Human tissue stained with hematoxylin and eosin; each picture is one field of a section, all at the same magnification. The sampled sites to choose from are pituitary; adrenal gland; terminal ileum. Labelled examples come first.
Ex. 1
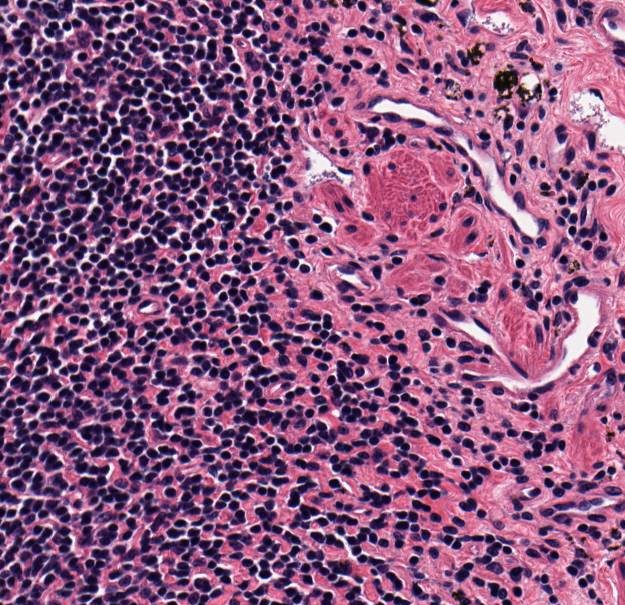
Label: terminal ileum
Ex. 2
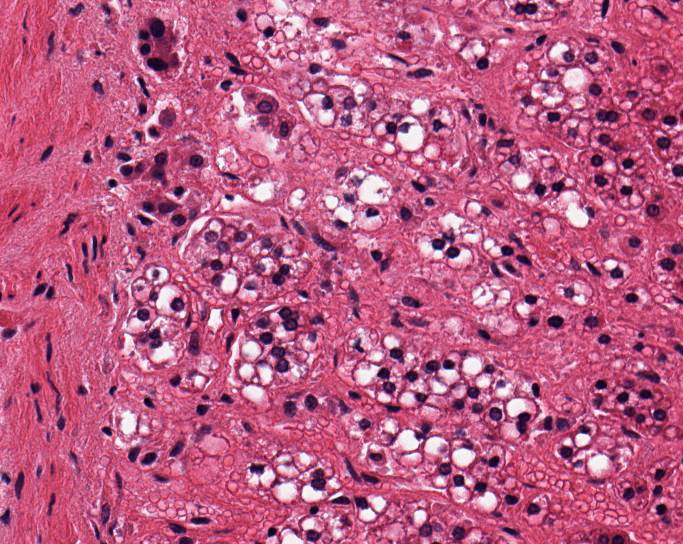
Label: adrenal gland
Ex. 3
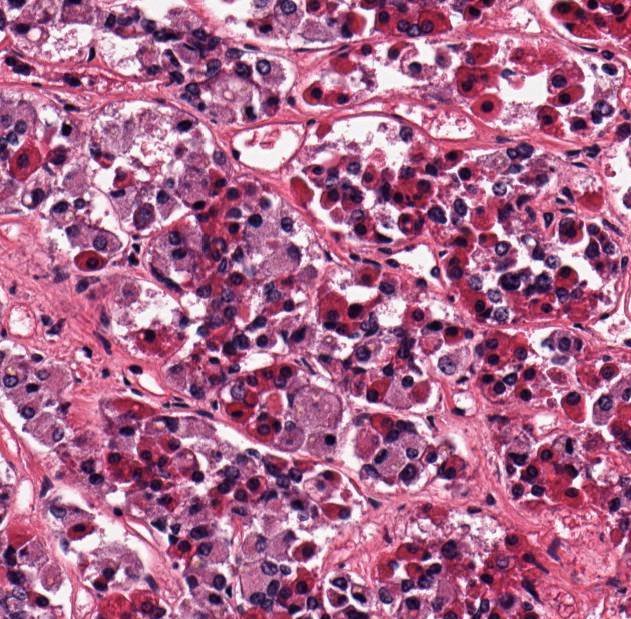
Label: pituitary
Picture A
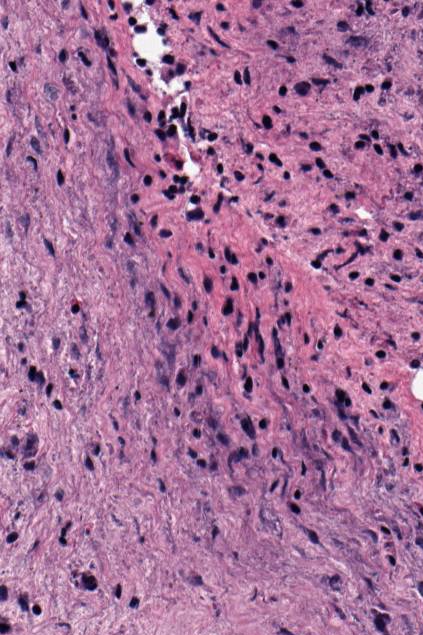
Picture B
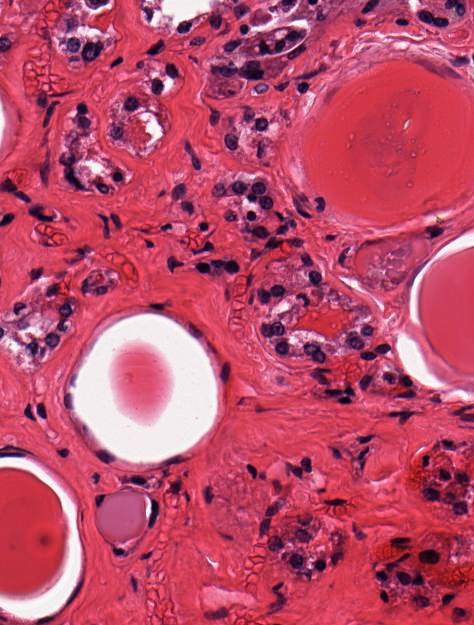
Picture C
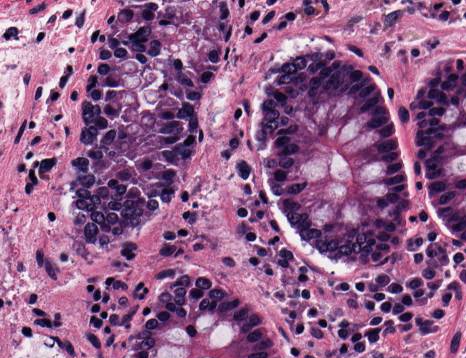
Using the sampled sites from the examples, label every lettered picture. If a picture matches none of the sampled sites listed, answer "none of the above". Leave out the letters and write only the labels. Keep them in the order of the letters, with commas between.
terminal ileum, none of the above, terminal ileum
